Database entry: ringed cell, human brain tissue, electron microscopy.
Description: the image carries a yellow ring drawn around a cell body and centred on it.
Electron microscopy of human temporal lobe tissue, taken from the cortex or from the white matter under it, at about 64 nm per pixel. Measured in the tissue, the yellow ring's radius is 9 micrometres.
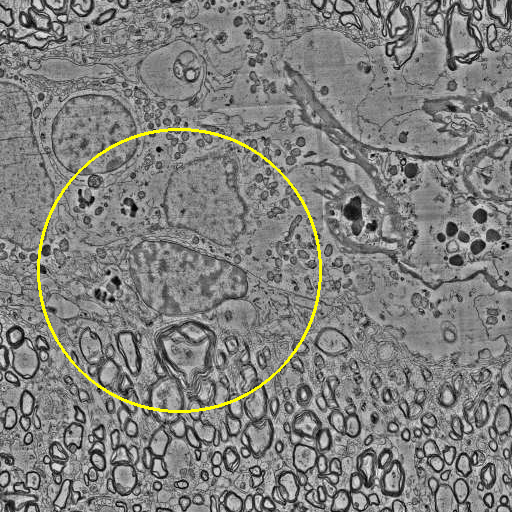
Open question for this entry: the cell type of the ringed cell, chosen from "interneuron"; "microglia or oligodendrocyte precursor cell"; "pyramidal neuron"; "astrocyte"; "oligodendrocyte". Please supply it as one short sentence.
The ringed cell is a microglial cell or oligodendrocyte precursor cell.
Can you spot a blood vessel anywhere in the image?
Yes.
